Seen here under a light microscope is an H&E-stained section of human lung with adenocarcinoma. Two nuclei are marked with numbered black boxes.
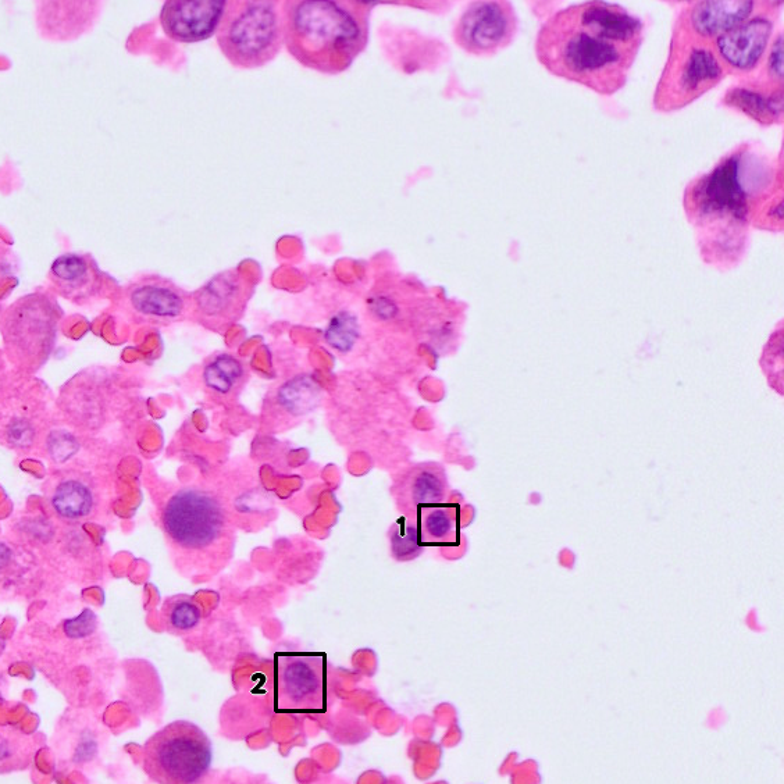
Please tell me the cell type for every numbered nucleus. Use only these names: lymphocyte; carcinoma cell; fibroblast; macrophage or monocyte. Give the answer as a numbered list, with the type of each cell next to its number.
1. lymphocyte
2. macrophage or monocyte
